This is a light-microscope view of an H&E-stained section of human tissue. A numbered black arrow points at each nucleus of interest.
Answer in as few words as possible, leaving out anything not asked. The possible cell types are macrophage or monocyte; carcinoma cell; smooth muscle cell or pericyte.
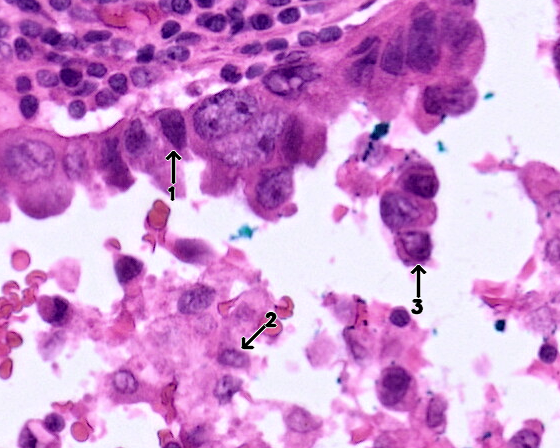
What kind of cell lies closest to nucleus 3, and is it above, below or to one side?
a carcinoma cell; above and to the left of nucleus 3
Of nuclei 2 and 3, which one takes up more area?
3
